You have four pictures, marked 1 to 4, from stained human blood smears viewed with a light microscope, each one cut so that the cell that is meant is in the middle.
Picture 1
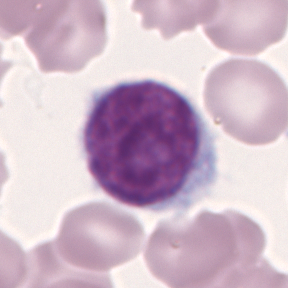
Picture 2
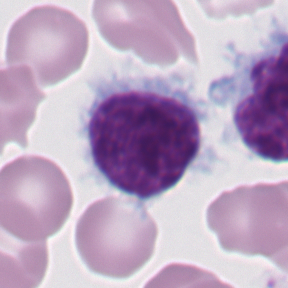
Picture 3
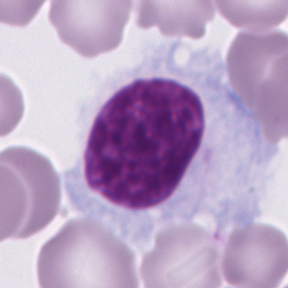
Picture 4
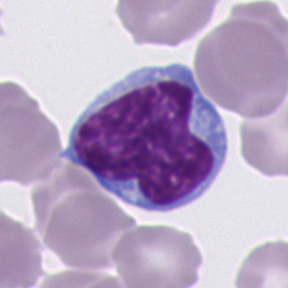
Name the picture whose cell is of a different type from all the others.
4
